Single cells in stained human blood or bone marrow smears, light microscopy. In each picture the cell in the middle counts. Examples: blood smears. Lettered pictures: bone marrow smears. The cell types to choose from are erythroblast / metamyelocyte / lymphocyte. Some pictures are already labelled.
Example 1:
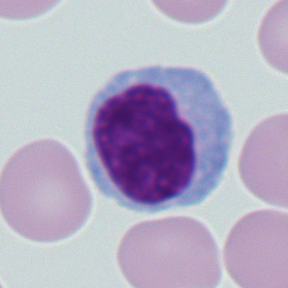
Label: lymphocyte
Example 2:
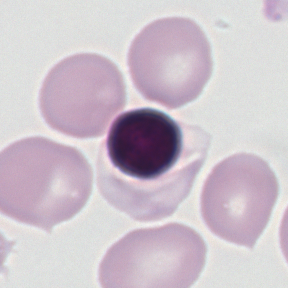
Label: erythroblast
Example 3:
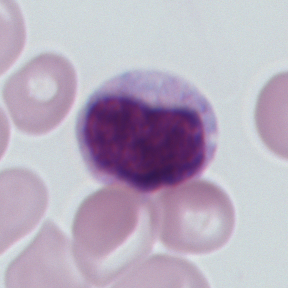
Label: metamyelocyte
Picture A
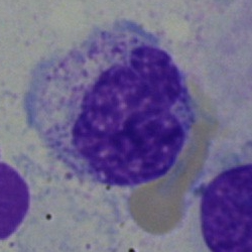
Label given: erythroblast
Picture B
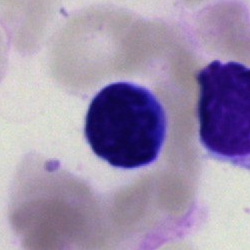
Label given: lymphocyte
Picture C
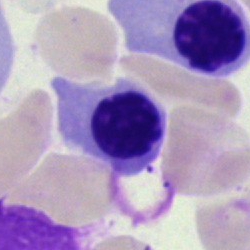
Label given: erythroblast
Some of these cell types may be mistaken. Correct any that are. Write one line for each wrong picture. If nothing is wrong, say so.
A is labelled erythroblast; correct label: metamyelocyte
